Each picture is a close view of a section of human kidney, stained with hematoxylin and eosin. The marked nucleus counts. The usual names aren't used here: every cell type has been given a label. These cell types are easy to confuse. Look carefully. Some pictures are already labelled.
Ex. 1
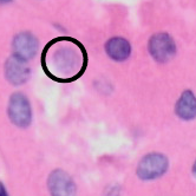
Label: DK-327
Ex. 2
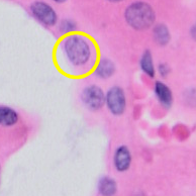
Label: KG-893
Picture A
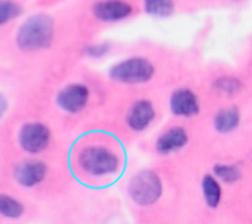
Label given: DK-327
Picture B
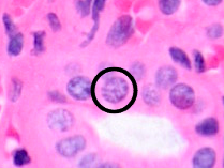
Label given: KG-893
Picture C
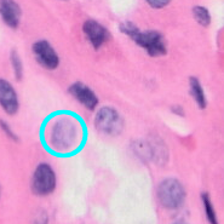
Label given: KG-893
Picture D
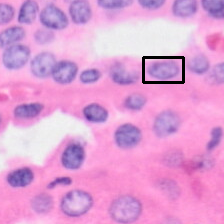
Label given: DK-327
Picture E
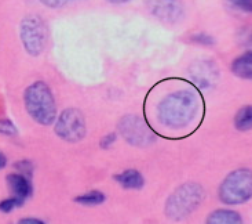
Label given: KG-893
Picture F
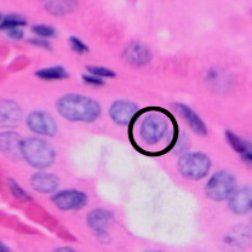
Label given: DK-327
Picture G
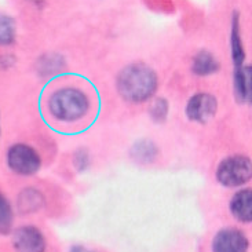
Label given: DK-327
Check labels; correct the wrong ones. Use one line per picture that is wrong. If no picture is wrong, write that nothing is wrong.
D should be KG-893, not DK-327
F should be KG-893, not DK-327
